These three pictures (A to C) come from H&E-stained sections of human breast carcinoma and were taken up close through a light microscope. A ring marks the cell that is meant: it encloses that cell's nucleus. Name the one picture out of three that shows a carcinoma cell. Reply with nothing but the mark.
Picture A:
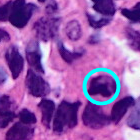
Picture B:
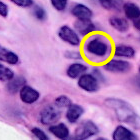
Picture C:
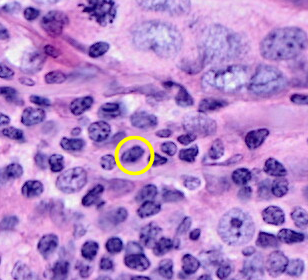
A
